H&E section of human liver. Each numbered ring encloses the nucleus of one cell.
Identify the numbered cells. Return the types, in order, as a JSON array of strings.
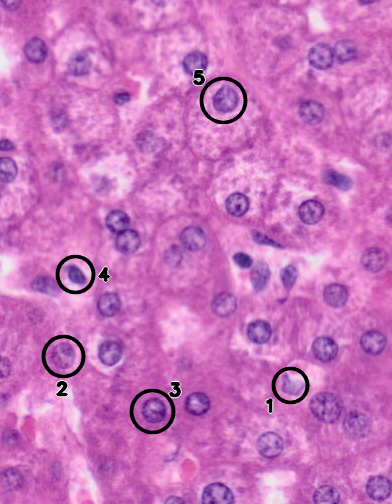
["endothelial cell", "hepatocyte", "hepatocyte", "lymphocyte", "hepatocyte"]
